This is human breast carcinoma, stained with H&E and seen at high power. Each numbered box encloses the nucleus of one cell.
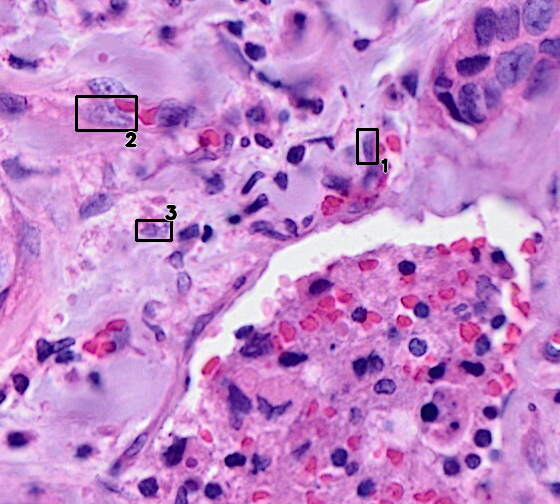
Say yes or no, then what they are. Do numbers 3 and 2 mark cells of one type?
No, cell 3 here is a macrophage, monocyte or dendritic cell and cell 2 here is an endothelial cell.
